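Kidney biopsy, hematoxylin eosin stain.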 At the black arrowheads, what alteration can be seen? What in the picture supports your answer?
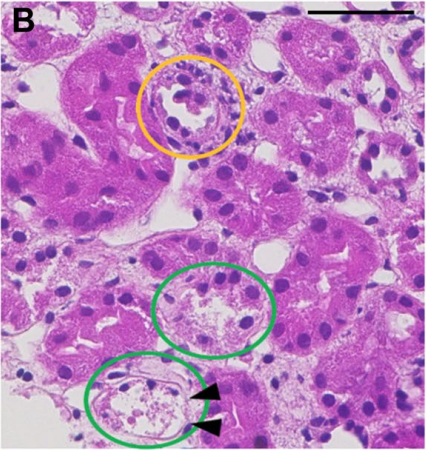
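Tubular basement membrane denudation. The arrowheads point to a thin membrane of a tubule with no epithelial cells lining it. Debris fills the lumen inside that bare membrane.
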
